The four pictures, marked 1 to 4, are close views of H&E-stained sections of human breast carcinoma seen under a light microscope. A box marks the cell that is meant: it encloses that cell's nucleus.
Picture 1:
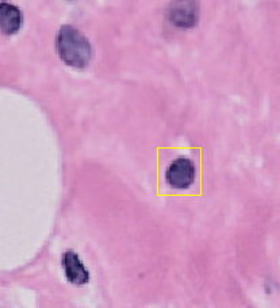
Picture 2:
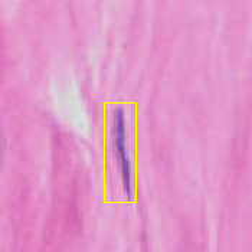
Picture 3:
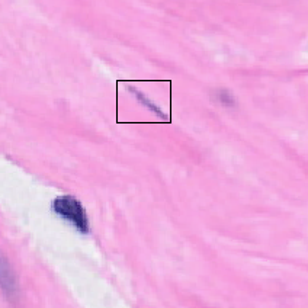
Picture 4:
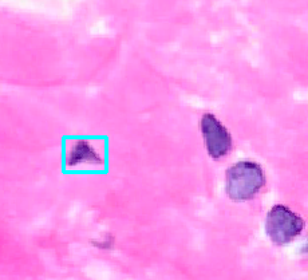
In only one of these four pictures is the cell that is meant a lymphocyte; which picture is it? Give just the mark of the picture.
1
